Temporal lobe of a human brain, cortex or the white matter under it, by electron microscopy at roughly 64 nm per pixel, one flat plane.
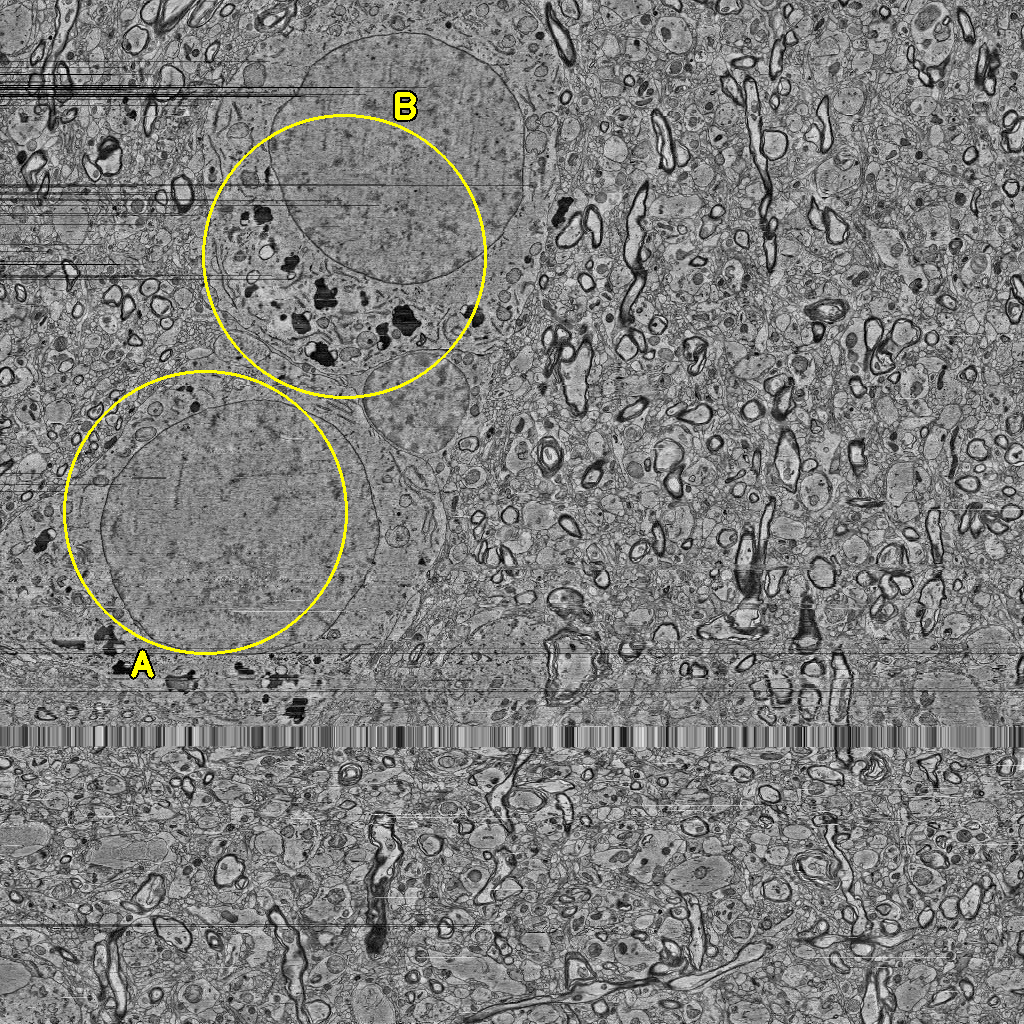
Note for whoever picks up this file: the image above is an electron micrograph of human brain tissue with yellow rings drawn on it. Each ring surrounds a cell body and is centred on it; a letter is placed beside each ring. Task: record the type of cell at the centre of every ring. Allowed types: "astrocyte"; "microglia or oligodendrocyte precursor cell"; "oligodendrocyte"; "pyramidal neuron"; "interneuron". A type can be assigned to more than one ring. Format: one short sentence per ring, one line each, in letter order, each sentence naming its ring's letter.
The ring marked A is centred on a pyramidal neuron.
The ring marked B is centred on a pyramidal neuron.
